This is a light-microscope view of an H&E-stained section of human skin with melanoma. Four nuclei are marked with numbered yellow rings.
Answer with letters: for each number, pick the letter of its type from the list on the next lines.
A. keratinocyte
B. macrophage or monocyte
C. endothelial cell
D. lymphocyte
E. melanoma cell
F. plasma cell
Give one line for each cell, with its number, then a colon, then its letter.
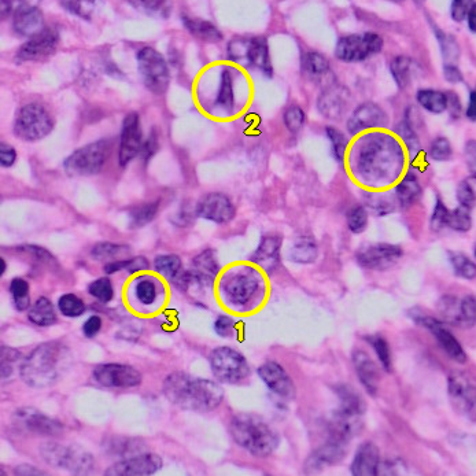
1: E
2: E
3: D
4: E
